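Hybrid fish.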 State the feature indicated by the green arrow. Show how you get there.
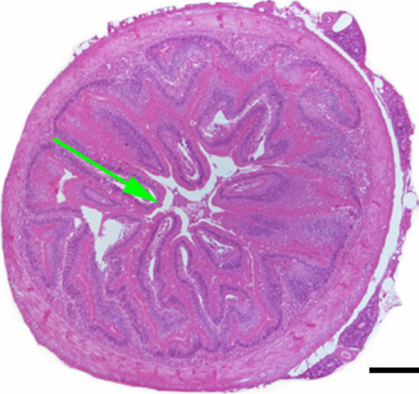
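Finger-like mucosal folds project from the wall into a central lumen. The folds are lined by a surface epithelium. On this evidence: intestinal villi.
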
